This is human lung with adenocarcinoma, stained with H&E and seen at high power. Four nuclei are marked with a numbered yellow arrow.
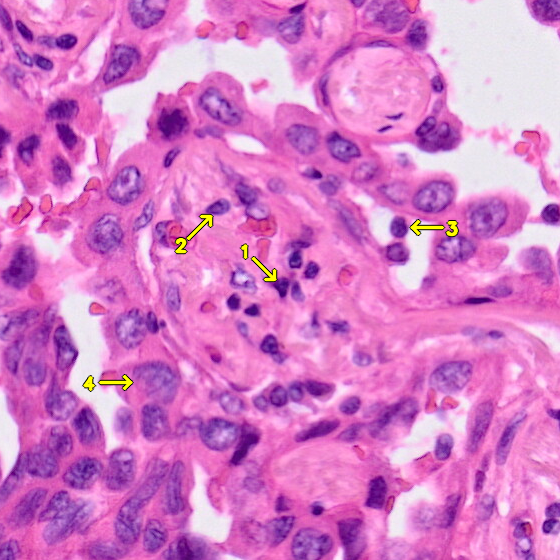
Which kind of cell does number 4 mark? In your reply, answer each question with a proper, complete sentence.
The marked cell with the number 4 is recognised as a carcinoma cell.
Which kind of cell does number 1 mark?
The cell identified by number 1 is a plasma cell.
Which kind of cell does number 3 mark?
The expected answer is that cell 3 is a lymphocyte.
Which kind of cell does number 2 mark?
What the number 2 marks in this field is a lymphocyte.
